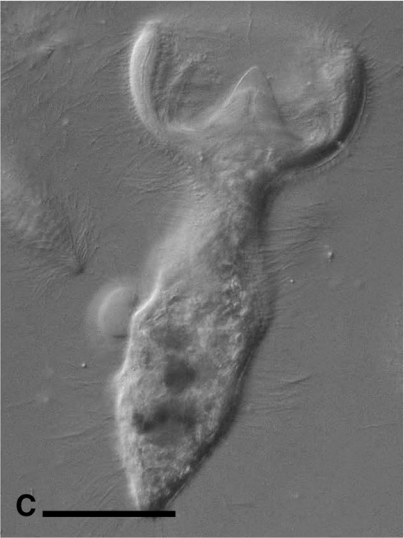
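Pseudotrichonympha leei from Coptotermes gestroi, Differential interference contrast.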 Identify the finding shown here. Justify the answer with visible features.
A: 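The front end of the cell is widened into a broad cup with curled rims. Behind the cup the body narrows into a neck and then a granular posterior body. The answer: cup-shaped anterior.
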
